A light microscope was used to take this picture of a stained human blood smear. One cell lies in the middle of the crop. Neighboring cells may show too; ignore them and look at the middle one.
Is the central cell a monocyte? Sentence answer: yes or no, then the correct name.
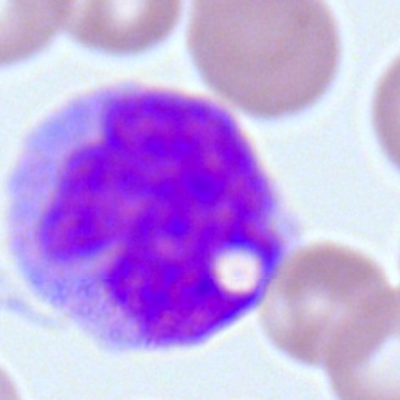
Yes, this is a monocyte, the cell in the middle of the crop.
